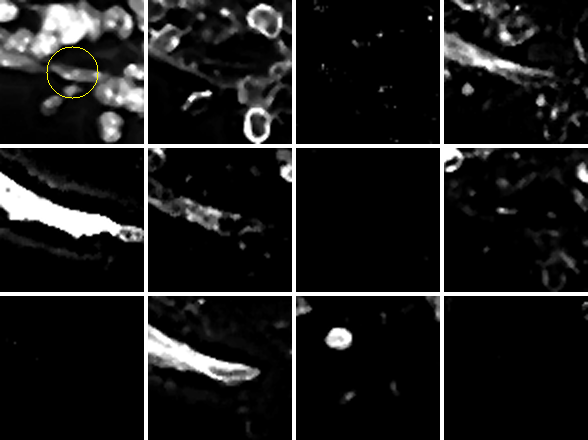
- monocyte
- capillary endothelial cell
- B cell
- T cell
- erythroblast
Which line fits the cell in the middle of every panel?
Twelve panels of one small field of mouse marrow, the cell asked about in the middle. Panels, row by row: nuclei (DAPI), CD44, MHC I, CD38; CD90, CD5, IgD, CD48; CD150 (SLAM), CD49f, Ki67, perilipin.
capillary endothelial cell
